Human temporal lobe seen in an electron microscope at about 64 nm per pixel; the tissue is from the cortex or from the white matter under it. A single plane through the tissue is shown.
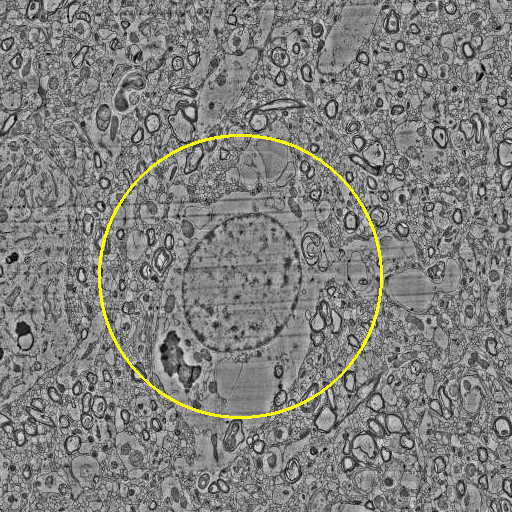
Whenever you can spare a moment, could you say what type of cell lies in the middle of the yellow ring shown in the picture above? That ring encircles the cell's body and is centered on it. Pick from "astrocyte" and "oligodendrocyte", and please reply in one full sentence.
The cell whose body sits at the middle of the yellow ring is an astrocyte.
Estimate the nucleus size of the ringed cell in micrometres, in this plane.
About 9 by 8 micrometres in this plane.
